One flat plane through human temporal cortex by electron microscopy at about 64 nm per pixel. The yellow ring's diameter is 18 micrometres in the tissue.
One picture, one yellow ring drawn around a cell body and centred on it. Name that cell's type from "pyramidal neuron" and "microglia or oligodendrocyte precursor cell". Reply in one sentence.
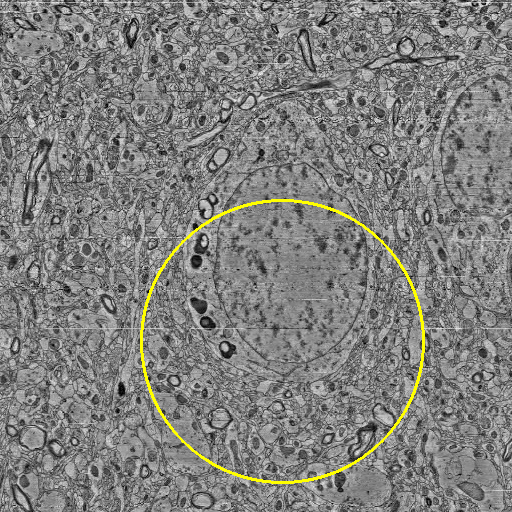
Centred in the ring is a pyramidal neuron.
